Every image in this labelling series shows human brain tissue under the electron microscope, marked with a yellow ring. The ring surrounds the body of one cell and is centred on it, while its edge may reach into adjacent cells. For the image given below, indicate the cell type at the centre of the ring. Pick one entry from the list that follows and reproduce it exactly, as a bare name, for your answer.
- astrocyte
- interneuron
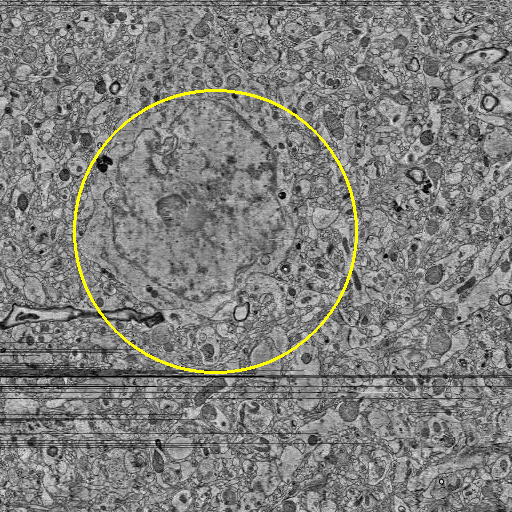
interneuron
